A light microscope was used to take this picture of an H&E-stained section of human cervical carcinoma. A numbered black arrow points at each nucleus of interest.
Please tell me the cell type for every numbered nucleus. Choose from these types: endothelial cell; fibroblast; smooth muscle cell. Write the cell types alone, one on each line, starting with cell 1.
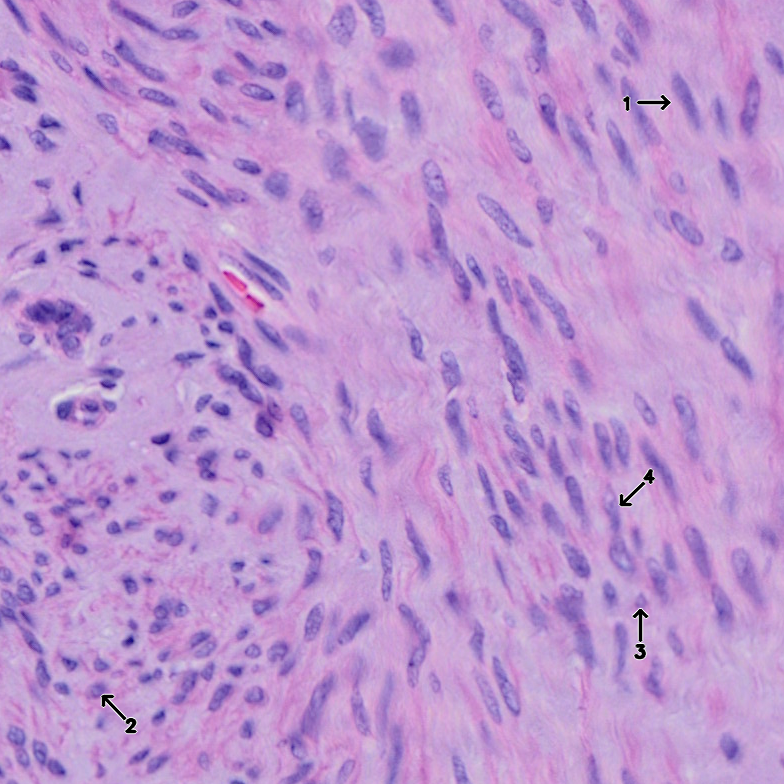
fibroblast
smooth muscle cell
smooth muscle cell
smooth muscle cell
